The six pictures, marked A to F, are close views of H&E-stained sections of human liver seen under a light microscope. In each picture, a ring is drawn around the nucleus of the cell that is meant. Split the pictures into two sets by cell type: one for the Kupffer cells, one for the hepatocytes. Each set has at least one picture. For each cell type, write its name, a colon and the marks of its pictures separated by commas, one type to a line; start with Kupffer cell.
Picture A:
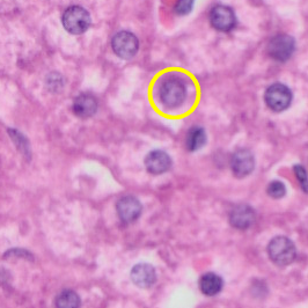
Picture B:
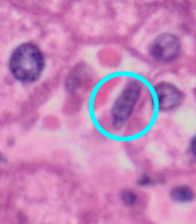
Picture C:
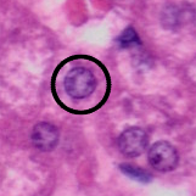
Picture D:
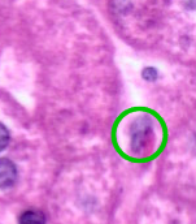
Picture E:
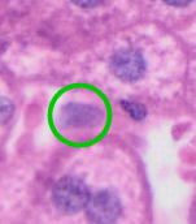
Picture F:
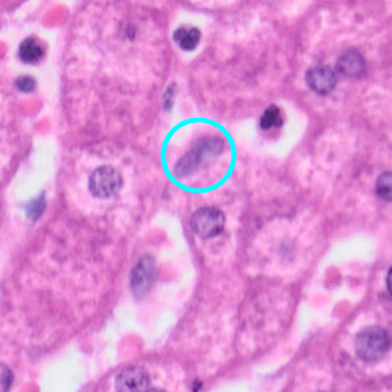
Kupffer cell: B, D, E, F
hepatocyte: A, C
